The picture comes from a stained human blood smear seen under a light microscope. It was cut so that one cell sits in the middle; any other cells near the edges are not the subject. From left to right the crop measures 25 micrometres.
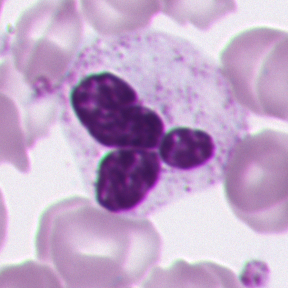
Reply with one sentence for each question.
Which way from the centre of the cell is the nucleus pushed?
The nucleus sits off-centre, toward the lower left.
